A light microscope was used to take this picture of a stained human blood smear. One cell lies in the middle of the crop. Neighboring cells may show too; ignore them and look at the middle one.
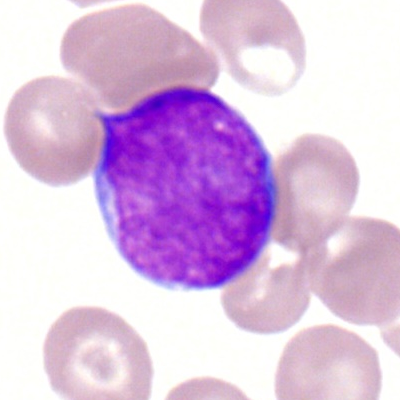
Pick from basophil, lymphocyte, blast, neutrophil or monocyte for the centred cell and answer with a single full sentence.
The target cell in the middle of the crop is a blast.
